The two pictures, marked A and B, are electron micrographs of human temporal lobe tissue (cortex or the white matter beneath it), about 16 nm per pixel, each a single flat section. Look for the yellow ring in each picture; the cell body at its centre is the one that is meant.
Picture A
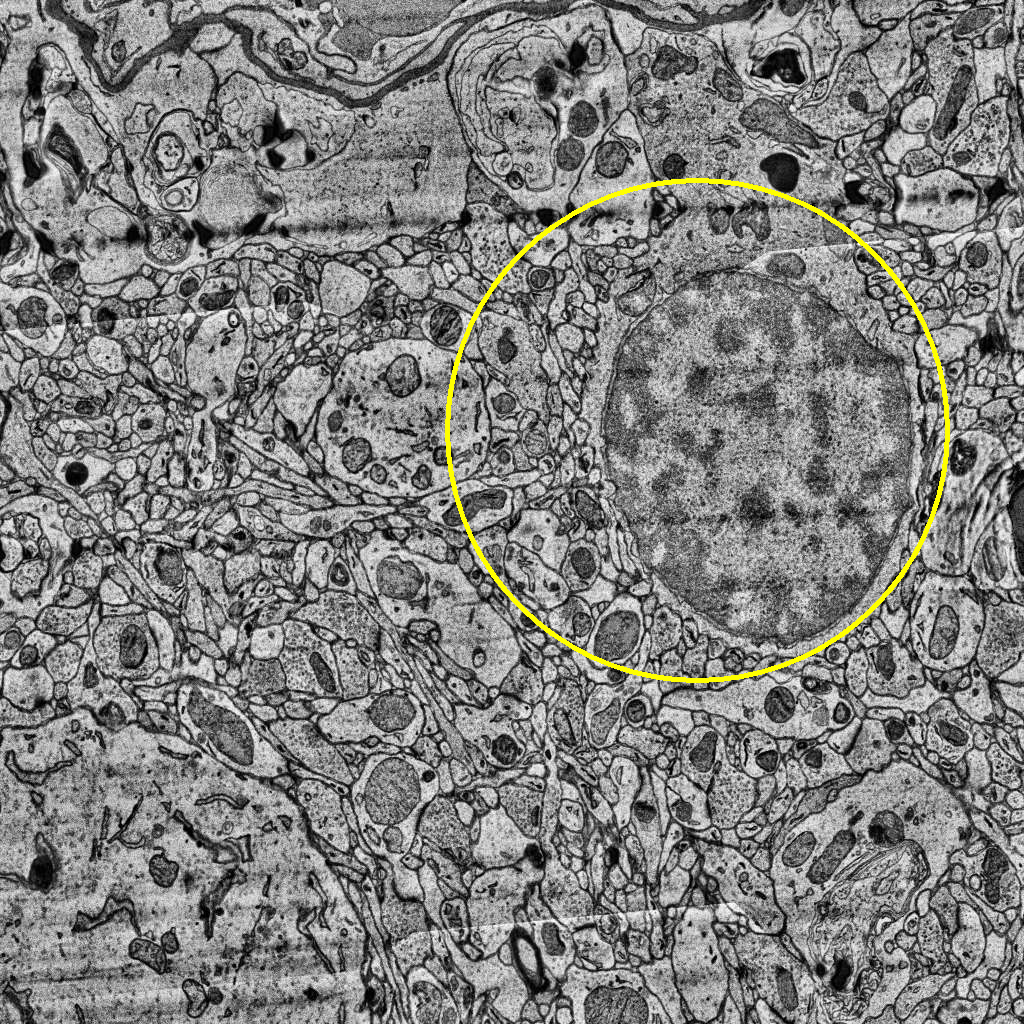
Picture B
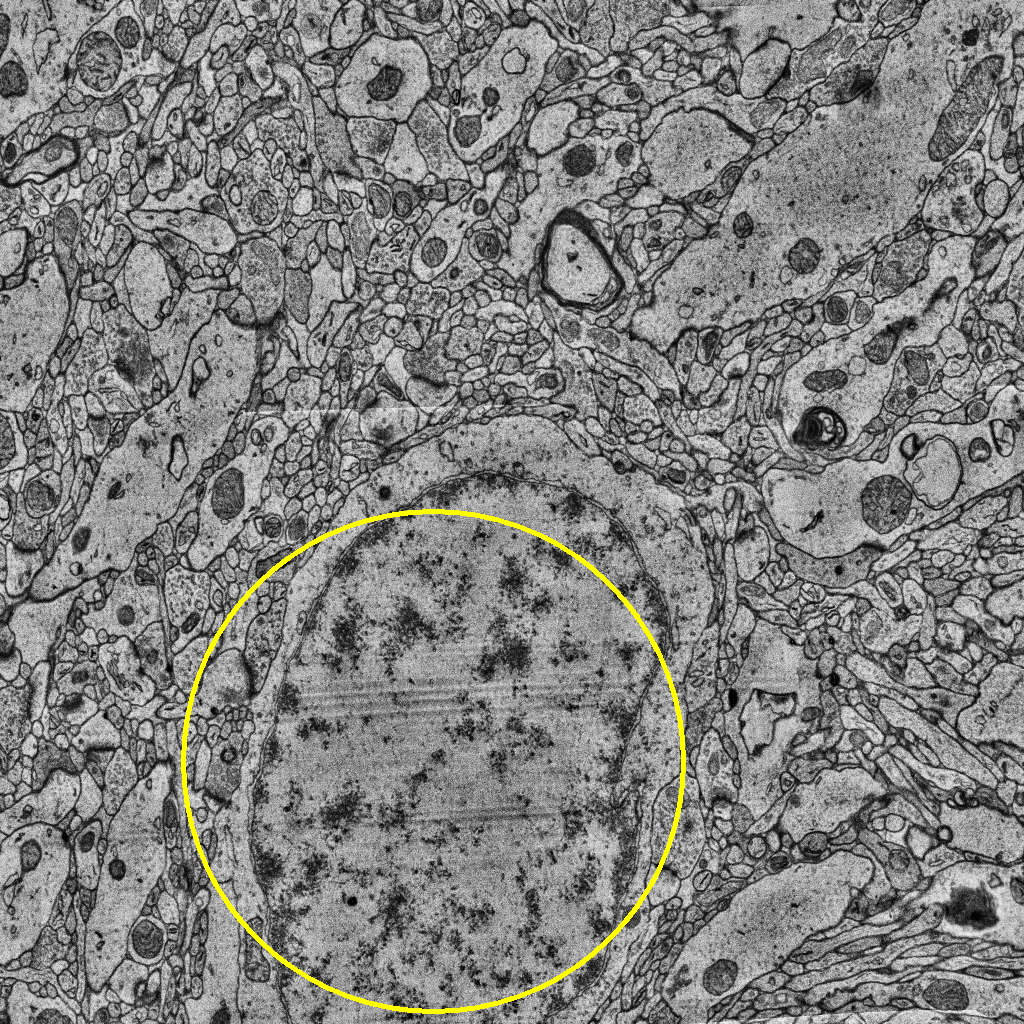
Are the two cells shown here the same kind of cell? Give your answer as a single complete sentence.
No, picture A shows an oligodendrocyte and picture B shows an interneuron.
